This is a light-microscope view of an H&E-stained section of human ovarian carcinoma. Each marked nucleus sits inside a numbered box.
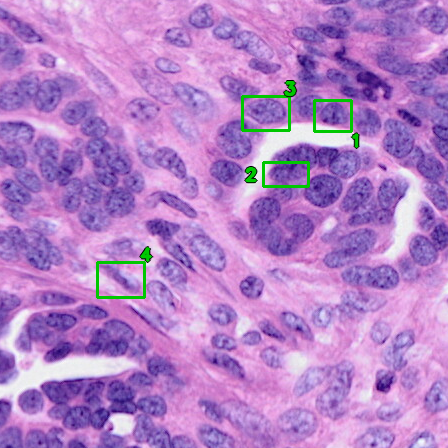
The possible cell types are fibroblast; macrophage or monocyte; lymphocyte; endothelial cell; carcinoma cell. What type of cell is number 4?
fibroblast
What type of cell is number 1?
carcinoma cell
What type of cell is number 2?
carcinoma cell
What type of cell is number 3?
carcinoma cell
